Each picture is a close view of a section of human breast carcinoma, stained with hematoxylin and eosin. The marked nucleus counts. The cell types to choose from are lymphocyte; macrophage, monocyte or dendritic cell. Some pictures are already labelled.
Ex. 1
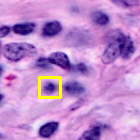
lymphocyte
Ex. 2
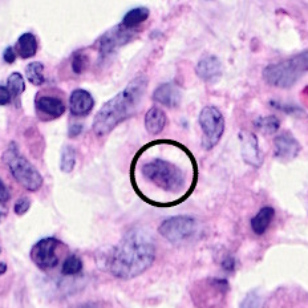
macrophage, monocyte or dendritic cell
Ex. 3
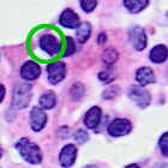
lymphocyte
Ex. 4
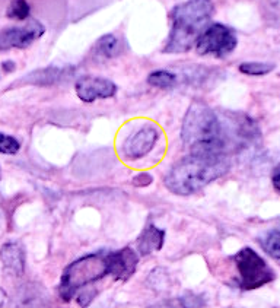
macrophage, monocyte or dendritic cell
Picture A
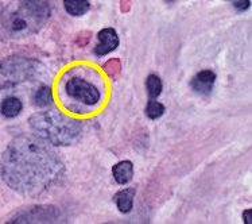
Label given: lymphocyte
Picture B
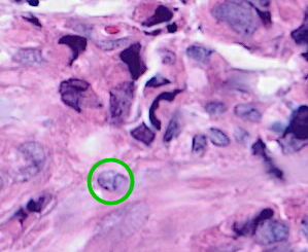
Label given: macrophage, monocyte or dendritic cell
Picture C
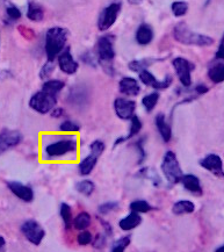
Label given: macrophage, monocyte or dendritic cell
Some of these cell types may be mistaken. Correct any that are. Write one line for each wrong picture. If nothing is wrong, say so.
C: lymphocyte, not macrophage, monocyte or dendritic cell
